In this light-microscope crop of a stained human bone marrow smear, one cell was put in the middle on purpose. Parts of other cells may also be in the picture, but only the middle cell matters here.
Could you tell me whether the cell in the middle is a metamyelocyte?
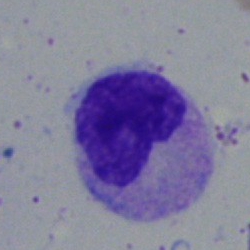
yes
